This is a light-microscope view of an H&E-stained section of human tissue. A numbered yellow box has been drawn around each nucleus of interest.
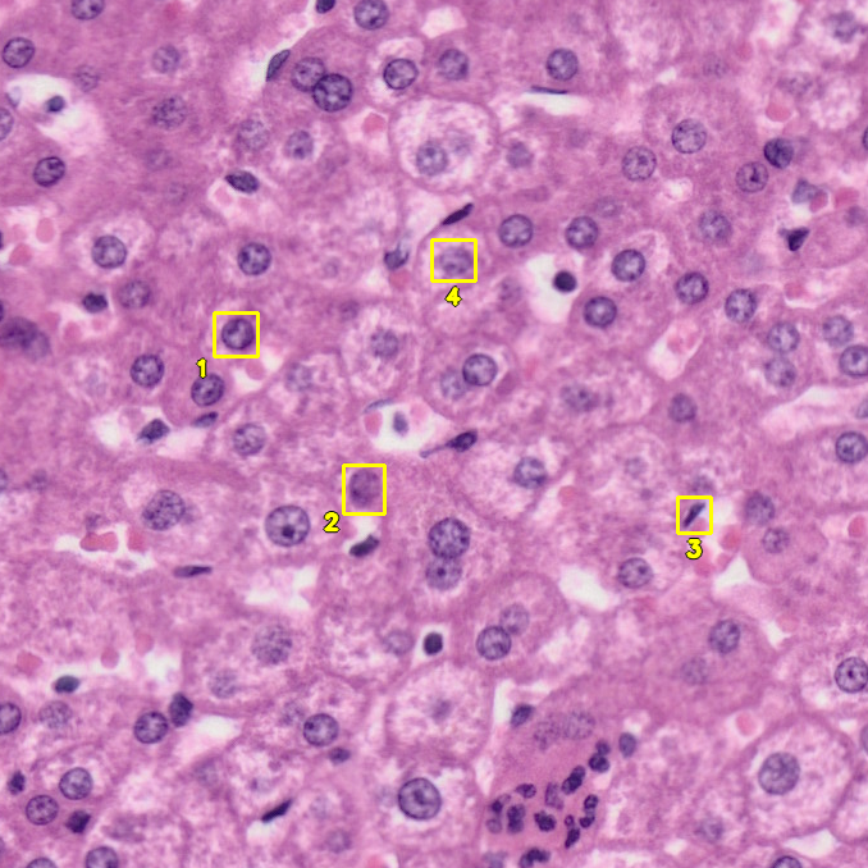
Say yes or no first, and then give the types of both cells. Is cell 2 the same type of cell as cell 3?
No, the cell bearing number 2 is a hepatocyte, while the one bearing number 3 is an endothelial cell.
